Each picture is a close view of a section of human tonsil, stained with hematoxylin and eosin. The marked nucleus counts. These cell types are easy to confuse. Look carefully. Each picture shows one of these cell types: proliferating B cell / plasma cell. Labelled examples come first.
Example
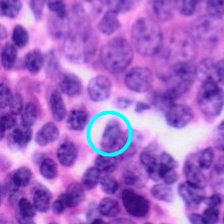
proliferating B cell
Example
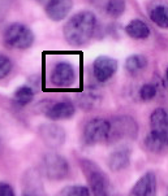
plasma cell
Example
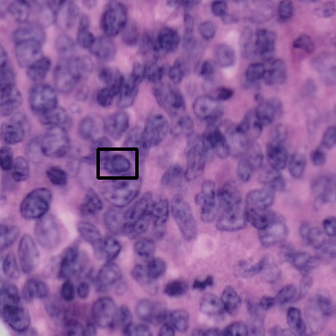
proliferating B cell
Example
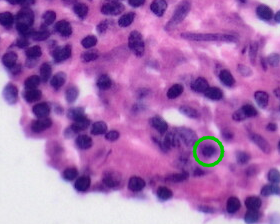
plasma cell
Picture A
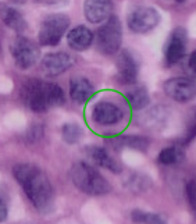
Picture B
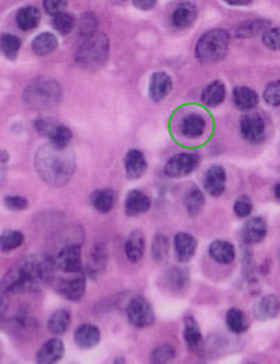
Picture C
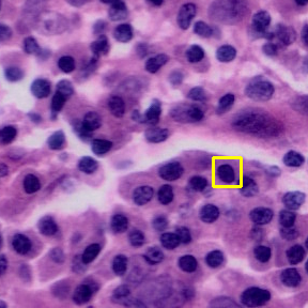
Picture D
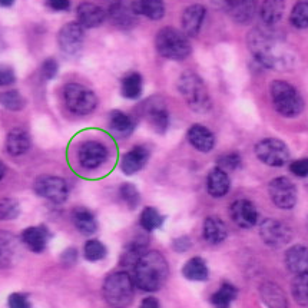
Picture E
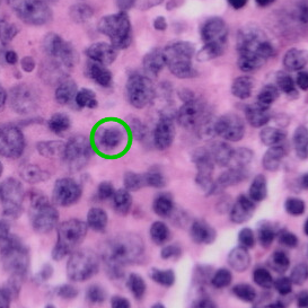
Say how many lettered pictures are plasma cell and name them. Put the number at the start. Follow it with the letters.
4, namely A, B, C, D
